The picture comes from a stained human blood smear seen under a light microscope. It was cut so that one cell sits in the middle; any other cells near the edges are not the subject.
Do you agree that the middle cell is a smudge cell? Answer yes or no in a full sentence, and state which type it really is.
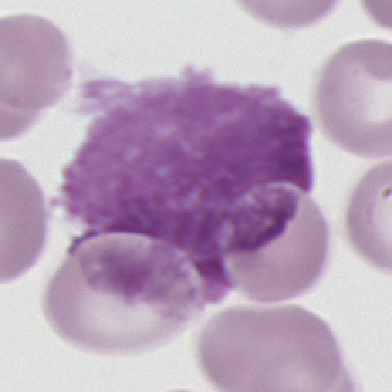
Yes, the cell shown at the crop's centre is a smudge cell.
